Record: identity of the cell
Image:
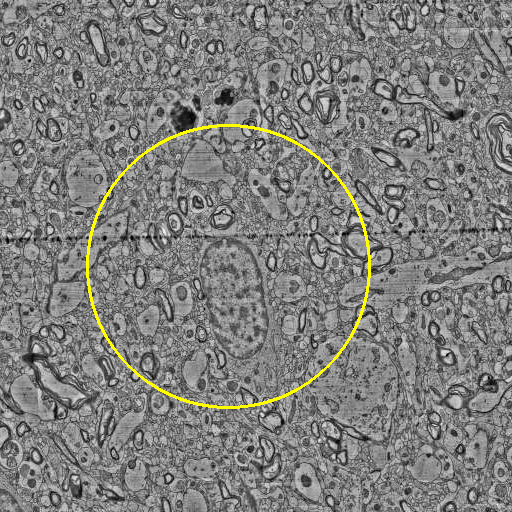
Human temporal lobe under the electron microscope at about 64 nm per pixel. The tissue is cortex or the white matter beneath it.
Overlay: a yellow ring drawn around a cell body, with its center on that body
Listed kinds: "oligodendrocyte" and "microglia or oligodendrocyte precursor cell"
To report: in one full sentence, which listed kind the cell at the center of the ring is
In the image, the cell body at the ring's center belongs to an oligodendrocyte.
